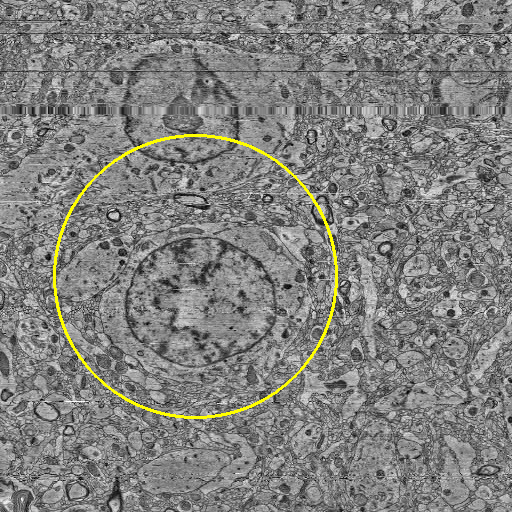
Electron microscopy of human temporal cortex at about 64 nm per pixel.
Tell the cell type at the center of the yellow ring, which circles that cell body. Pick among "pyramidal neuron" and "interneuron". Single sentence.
The ring is centered on the body of a pyramidal neuron.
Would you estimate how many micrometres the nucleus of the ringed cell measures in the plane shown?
Roughly 9 micrometres across for the nucleus, in this plane.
